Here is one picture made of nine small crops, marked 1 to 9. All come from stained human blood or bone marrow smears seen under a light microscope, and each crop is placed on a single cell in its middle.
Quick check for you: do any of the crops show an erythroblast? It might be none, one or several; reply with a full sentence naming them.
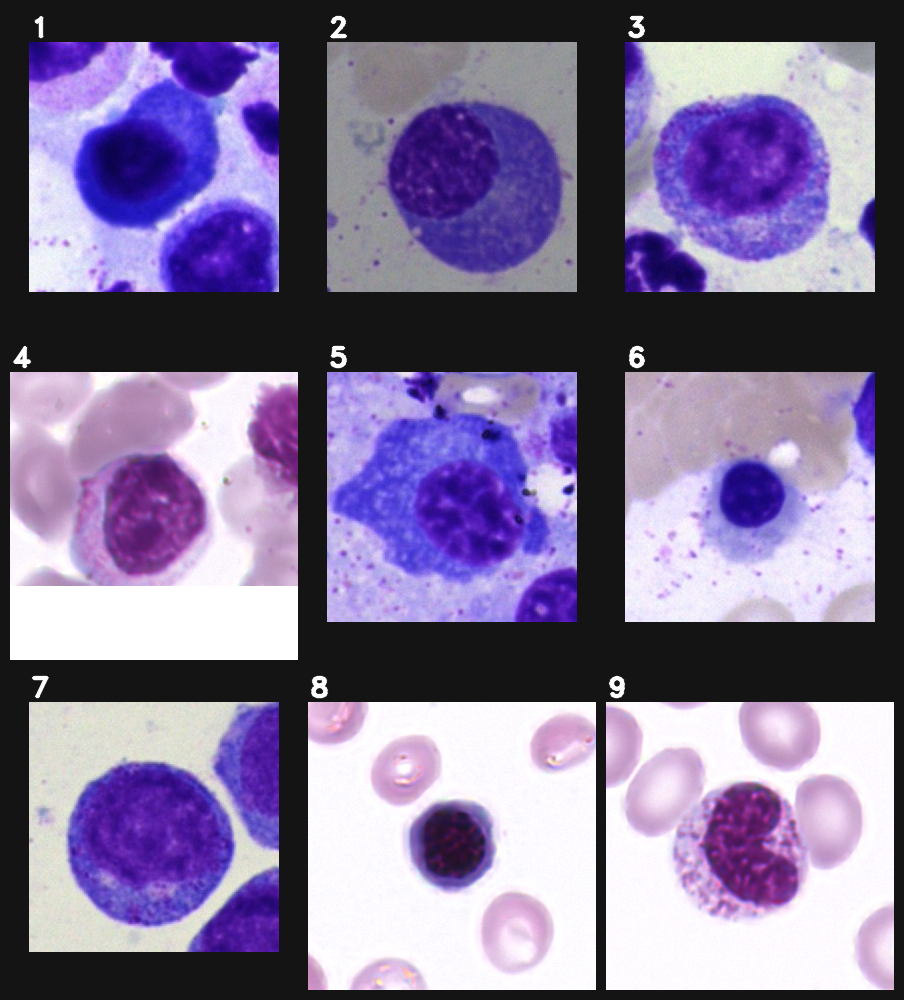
The cells of interest in crops 6 and 8 are erythroblasts.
